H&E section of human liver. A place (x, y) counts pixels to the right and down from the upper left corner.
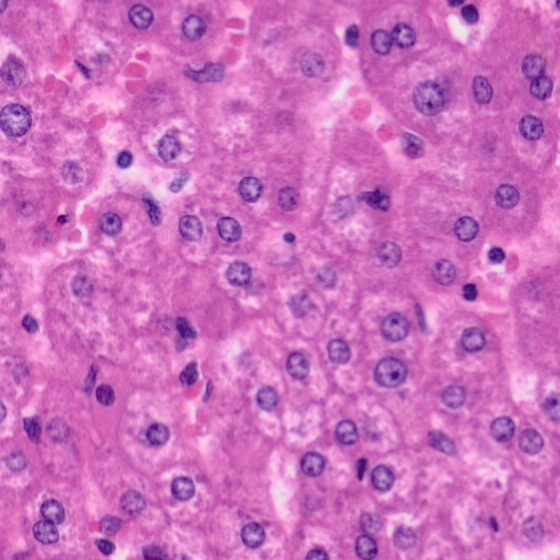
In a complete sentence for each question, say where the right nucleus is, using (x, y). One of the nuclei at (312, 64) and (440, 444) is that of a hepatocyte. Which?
The one belonging to a hepatocyte is the nucleus at (312, 64), not the other.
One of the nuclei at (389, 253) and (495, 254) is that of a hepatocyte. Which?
The nucleus at (389, 253) is assigned to a hepatocyte.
